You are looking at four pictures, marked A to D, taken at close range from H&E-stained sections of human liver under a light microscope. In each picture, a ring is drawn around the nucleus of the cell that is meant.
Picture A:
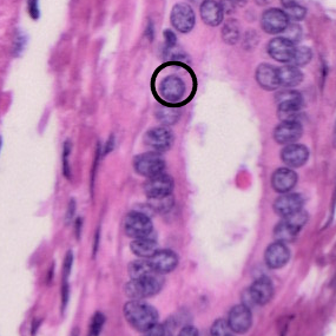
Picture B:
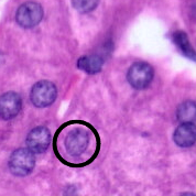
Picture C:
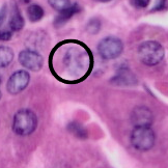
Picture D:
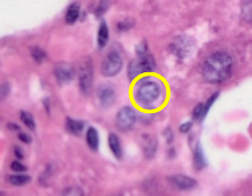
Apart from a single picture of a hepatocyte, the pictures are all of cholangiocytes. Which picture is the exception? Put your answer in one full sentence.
Picture B is the one that shows the hepatocyte.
